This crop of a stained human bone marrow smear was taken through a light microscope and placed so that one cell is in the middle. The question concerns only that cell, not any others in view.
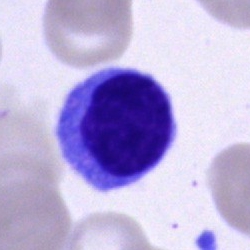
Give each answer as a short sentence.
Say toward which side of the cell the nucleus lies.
The nucleus lies toward the right of the cell.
